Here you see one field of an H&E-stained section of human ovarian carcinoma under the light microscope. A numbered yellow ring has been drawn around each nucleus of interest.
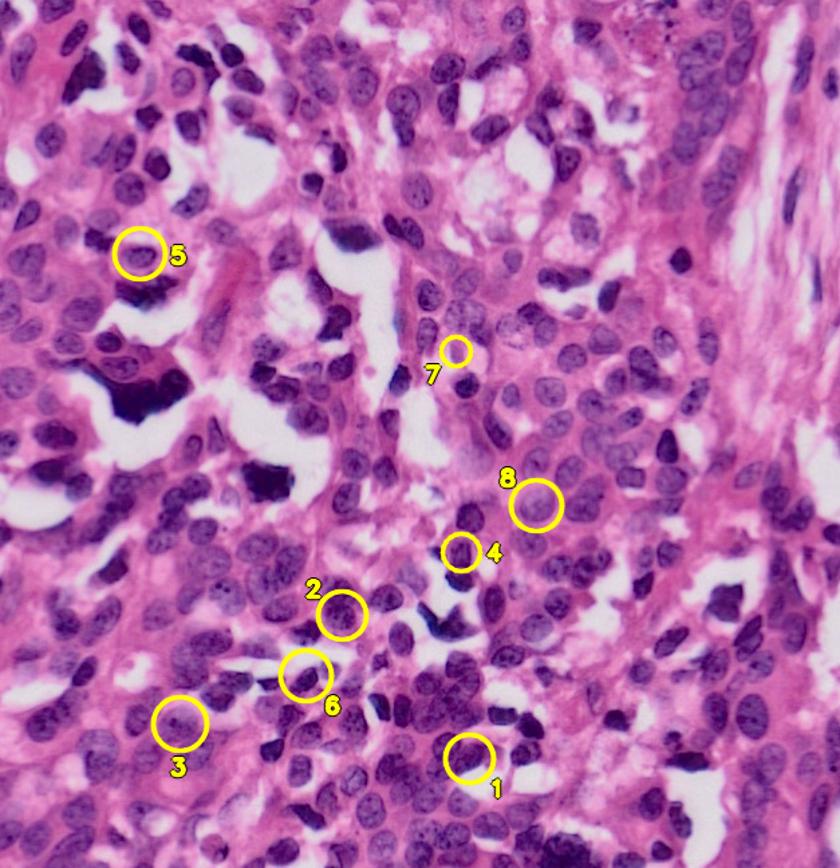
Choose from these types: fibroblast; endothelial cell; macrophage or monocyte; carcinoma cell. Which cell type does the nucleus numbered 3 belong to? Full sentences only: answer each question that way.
Nucleus 3 in this section belongs to a carcinoma cell.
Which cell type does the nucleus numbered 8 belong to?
Cell 8 in the field is a carcinoma cell.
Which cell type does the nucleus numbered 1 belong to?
In the marked set, the cell given number 1 is a carcinoma cell.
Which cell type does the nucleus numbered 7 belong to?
Cell 7, as marked in the section, is a macrophage or monocyte.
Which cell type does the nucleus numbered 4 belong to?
The nucleus labelled 4 belongs to a macrophage or monocyte.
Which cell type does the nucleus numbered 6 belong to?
The marked nucleus 6 is that of a carcinoma cell.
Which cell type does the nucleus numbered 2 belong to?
Cell 2, among those numbered, is a carcinoma cell.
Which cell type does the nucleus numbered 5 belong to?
The cell pointed out as number 5 is a macrophage or monocyte.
